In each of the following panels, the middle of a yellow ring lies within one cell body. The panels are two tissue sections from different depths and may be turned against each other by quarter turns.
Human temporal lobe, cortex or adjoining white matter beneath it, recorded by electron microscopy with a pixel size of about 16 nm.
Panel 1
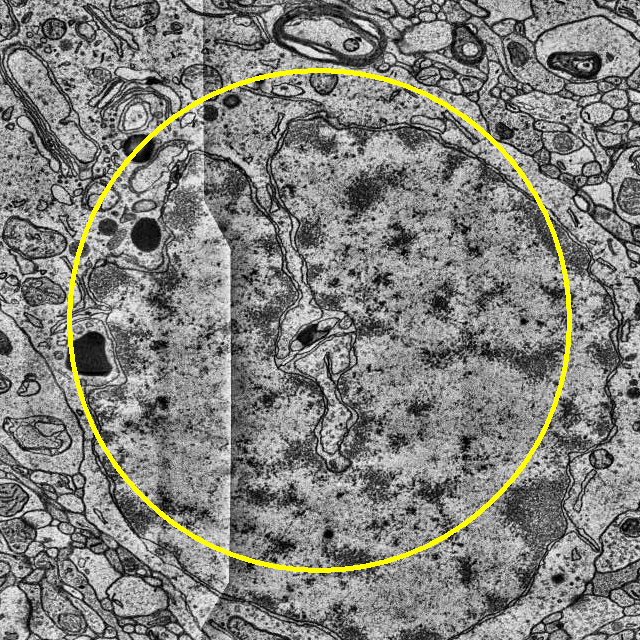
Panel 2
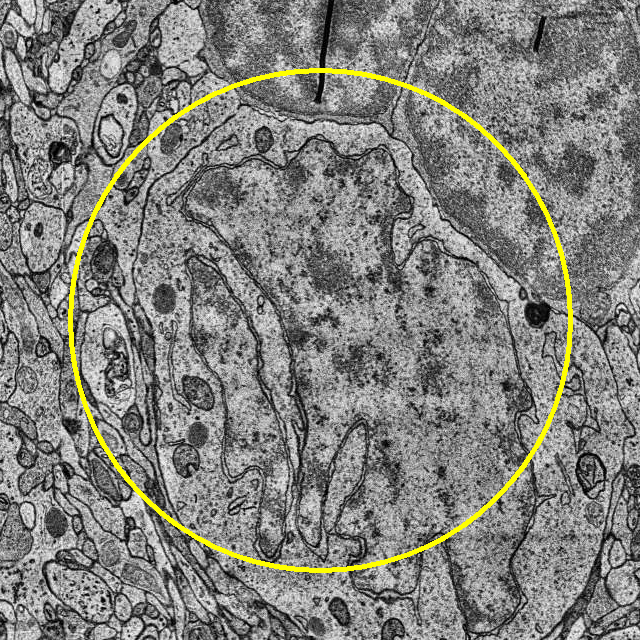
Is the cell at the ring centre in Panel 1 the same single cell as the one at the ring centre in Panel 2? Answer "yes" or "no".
no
